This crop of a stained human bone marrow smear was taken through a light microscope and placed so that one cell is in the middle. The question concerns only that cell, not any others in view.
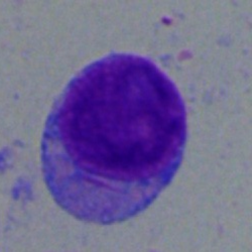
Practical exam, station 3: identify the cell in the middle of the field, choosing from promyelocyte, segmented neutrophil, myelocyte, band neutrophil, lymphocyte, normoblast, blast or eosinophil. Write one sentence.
Present in the middle of the crop is a blast.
